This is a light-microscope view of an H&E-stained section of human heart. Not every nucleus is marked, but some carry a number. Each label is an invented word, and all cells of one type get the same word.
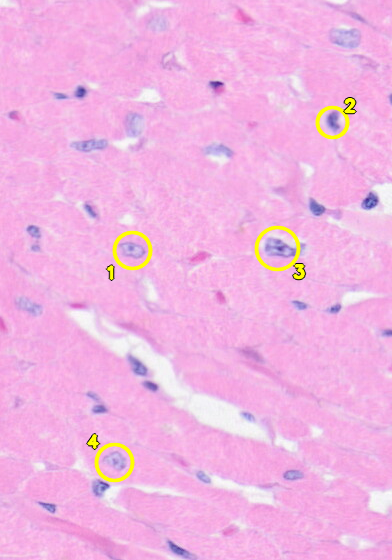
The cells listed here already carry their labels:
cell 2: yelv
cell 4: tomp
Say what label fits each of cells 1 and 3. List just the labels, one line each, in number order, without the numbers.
tomp
tomp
